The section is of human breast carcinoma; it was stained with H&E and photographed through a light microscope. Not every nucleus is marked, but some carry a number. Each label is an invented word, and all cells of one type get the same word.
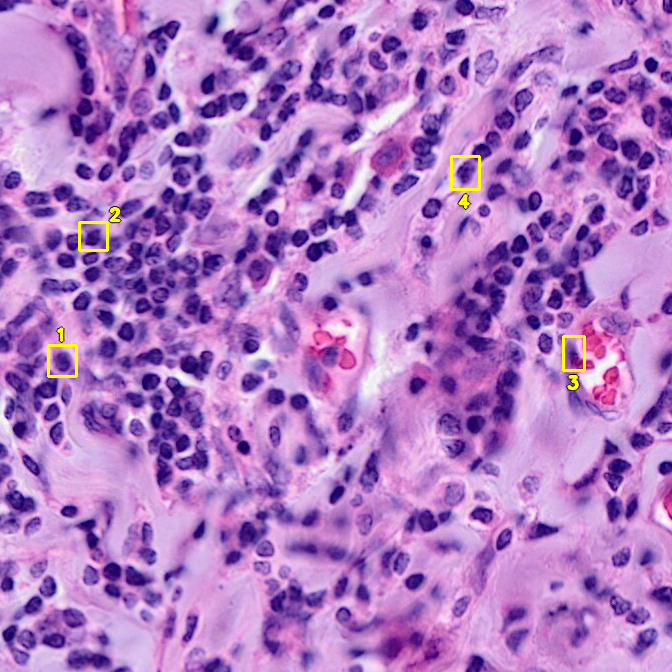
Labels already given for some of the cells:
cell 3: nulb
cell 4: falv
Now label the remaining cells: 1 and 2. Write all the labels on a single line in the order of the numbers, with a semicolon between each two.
falv; falv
